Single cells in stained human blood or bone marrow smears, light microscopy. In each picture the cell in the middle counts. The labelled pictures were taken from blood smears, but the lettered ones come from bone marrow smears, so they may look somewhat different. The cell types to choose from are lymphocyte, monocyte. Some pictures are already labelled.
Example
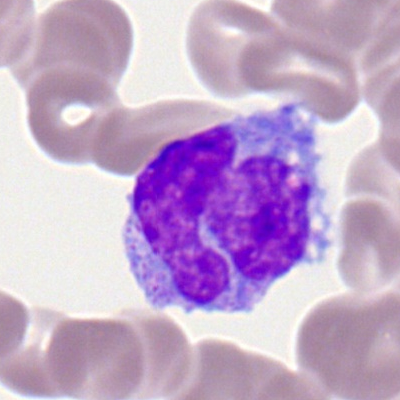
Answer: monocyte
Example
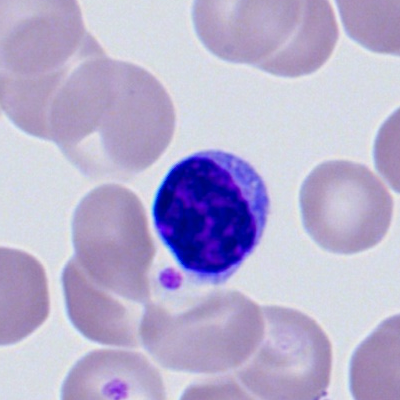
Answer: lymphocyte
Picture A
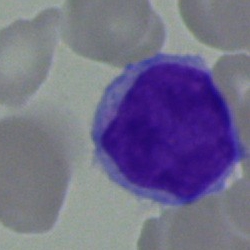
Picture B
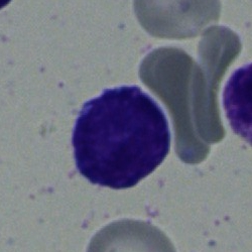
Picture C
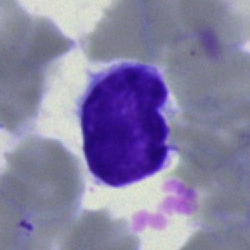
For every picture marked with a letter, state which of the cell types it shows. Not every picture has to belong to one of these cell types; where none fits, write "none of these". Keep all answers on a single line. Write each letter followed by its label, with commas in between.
A lymphocyte, B lymphocyte, C lymphocyte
